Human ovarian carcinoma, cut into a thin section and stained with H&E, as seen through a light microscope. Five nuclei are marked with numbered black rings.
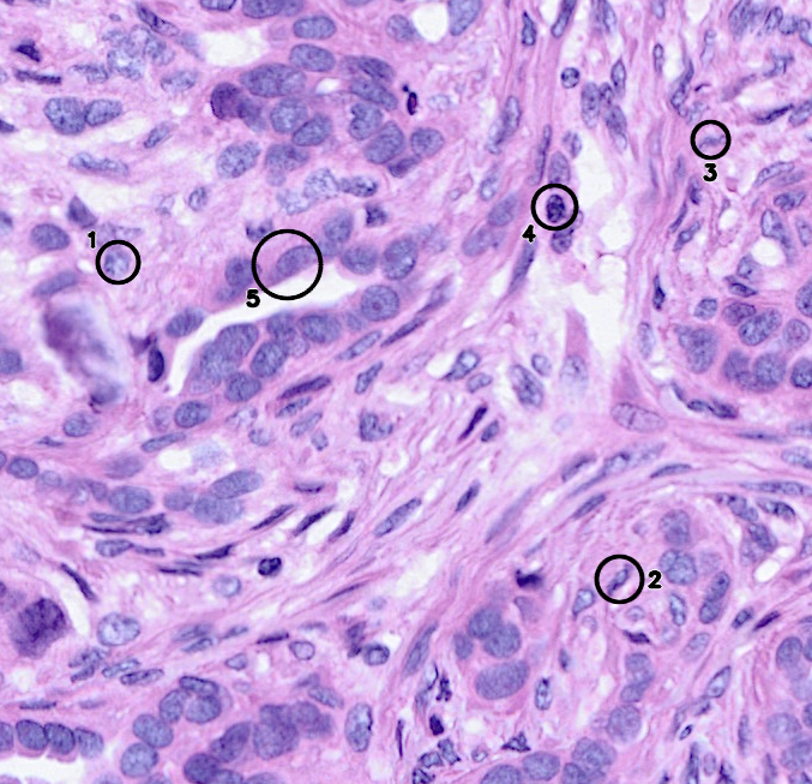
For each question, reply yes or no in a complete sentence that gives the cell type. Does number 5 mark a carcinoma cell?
Yes, that is so; number 5 marks a carcinoma cell.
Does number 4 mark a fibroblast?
No, number 4 is not a fibroblast but a lymphocyte.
